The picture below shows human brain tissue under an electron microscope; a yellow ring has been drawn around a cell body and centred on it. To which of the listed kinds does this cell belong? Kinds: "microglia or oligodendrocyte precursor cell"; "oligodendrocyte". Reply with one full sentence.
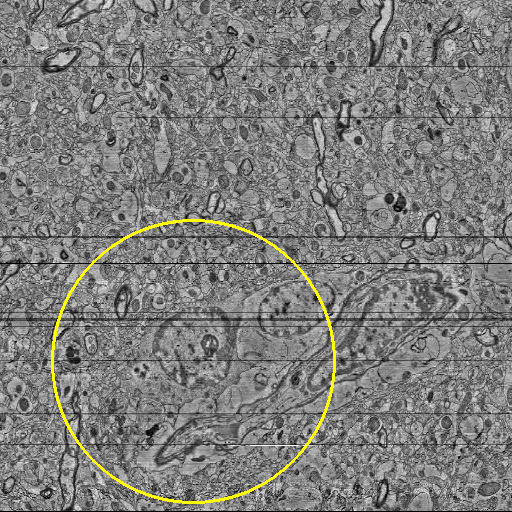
It is an oligodendrocyte that the yellow ring in the picture is centred on.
